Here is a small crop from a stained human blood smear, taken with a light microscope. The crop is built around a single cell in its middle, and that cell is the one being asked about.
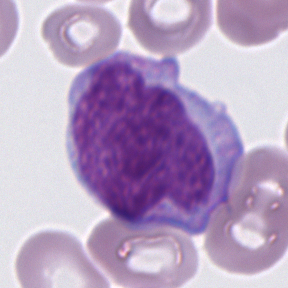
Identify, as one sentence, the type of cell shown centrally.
The cell at the centre of the field is an atypical promyelocyte.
